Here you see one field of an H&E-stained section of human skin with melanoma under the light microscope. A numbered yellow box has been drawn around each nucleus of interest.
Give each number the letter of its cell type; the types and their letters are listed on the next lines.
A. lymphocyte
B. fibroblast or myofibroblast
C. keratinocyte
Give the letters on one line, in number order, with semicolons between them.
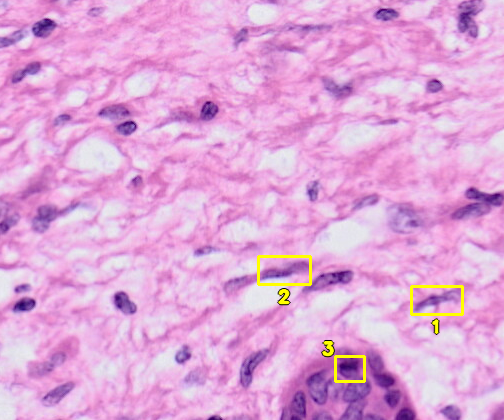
B; B; C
